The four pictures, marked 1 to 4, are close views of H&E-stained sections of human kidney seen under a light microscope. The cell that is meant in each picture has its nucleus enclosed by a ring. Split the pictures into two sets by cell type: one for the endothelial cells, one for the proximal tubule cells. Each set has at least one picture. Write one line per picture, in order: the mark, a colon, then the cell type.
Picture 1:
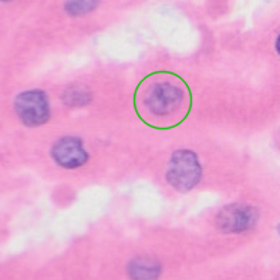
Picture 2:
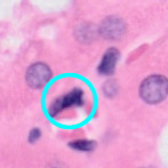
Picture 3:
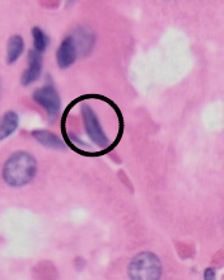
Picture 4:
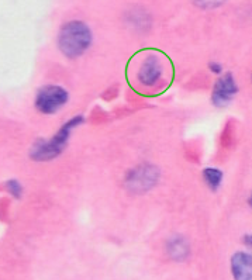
1: proximal tubule cell
2: endothelial cell
3: endothelial cell
4: endothelial cell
